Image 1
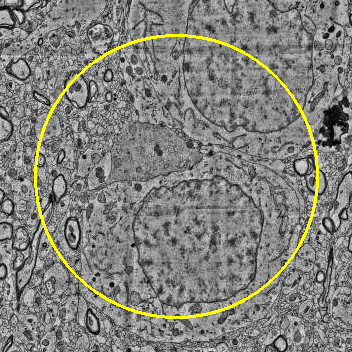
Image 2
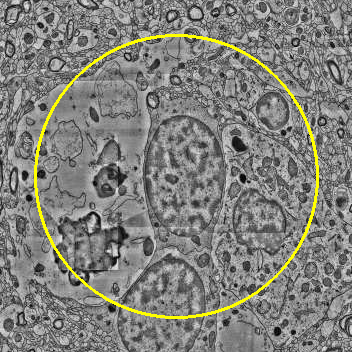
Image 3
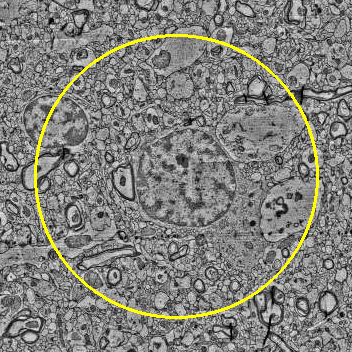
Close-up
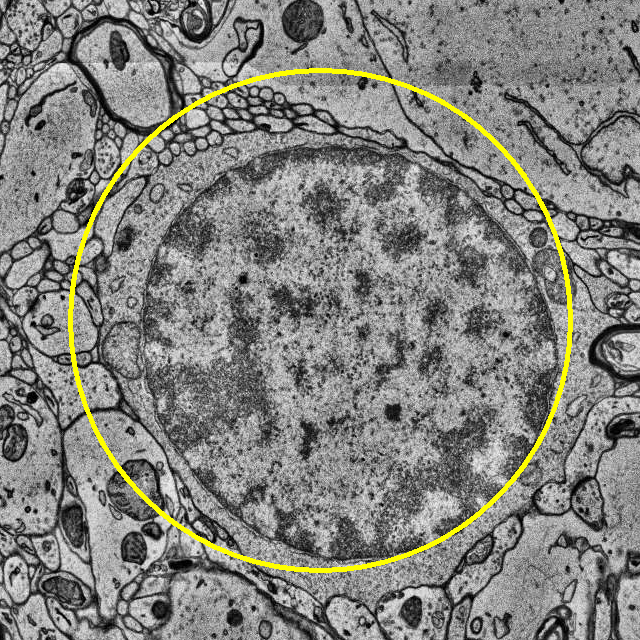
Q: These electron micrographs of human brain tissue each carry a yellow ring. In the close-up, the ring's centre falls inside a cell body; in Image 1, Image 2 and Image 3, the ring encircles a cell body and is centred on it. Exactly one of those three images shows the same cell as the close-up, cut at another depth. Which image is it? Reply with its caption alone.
Image 1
